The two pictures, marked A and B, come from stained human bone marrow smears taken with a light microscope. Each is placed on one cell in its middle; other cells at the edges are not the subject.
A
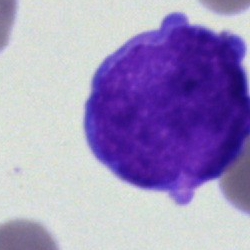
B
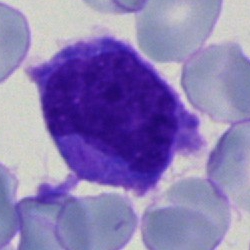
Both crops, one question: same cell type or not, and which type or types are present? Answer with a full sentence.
Yes, both crops are centred on blasts.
